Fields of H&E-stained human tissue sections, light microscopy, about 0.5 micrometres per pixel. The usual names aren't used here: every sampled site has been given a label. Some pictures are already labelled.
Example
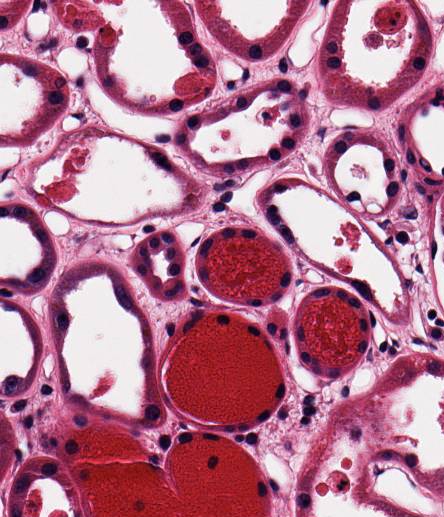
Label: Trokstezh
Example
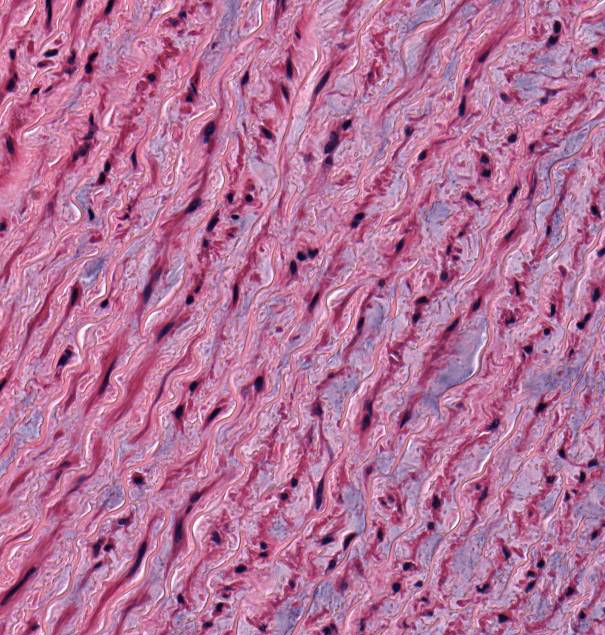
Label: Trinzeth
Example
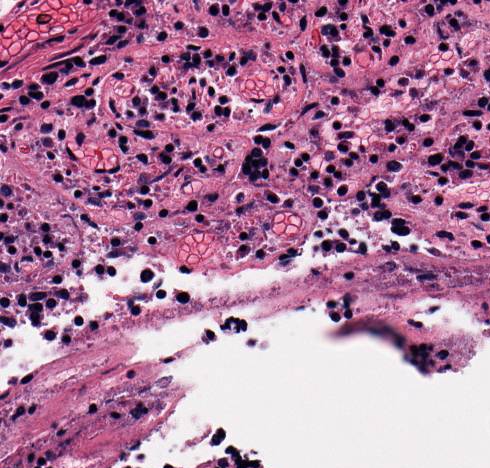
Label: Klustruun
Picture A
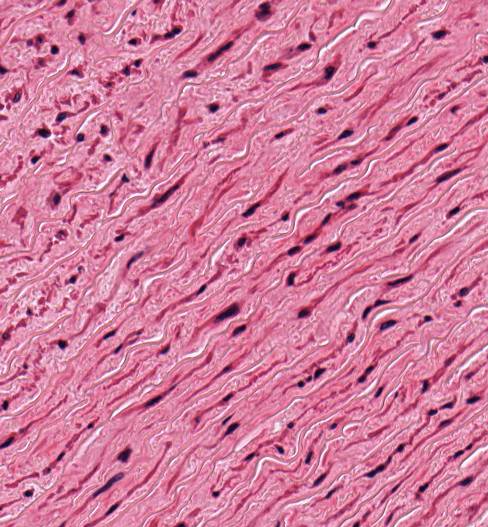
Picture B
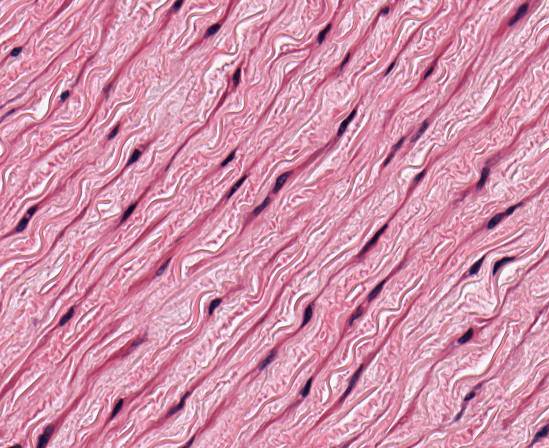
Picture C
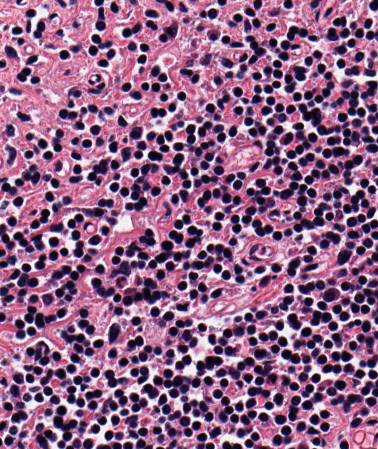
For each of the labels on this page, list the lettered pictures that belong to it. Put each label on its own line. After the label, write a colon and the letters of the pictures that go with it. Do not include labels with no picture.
Trinzeth: A, B
Klustruun: C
